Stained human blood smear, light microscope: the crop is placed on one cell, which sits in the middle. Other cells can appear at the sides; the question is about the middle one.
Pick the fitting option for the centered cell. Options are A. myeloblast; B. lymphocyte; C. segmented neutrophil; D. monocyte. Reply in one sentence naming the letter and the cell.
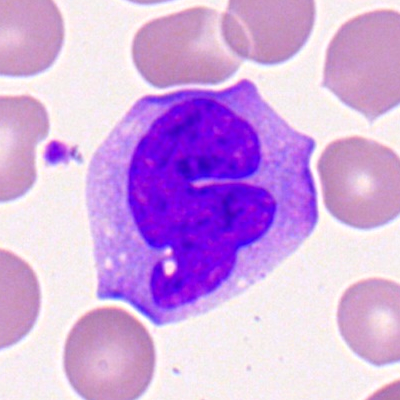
Option D is to be chosen, as the central cell is a monocyte.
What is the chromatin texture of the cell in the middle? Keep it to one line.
Check the chromatin: it is fine and not coarsely clumped.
